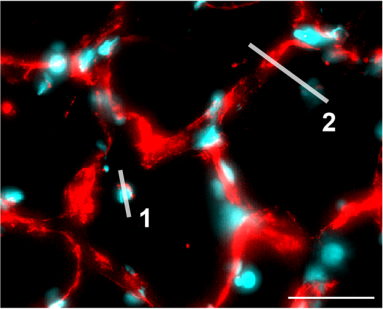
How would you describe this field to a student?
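A cross-section of skeletal muscle shows myofibers as dark polygonal areas bounded by red outlines of uneven thickness. Numerous small oval nuclei, bright cyan, sit along these borders, many at the edges of fibers and some in the spaces where several fibers meet. The red border signal is patchy, heavier in some stretches and thin or broken in others.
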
